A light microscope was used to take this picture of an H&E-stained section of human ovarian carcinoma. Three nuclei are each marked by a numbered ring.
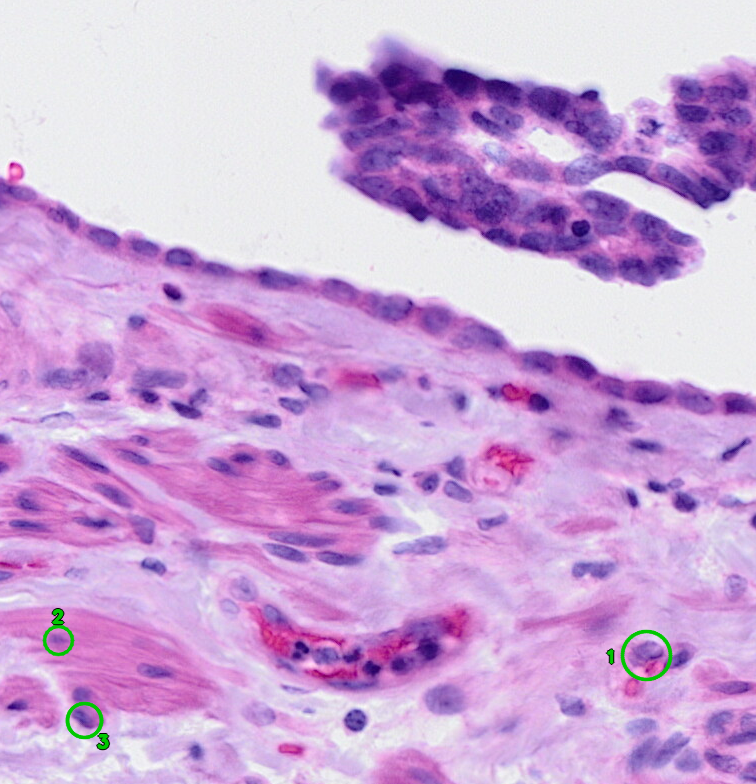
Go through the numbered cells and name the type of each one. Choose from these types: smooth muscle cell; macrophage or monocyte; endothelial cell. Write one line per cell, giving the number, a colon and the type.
1: endothelial cell
2: smooth muscle cell
3: smooth muscle cell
